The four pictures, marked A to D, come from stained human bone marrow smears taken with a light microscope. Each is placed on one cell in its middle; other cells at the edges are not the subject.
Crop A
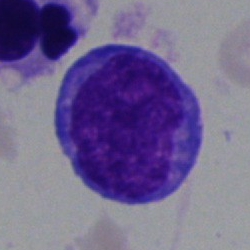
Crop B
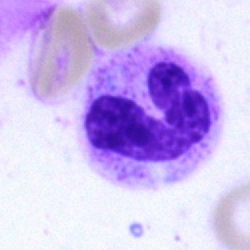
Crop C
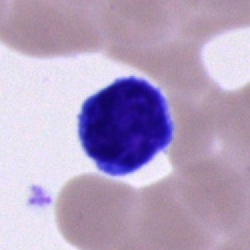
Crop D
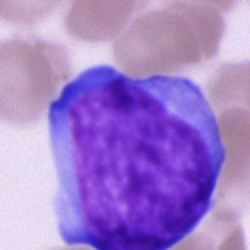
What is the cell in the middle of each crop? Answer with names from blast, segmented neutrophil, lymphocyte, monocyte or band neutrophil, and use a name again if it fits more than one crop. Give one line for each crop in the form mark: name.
A: blast
B: band neutrophil
C: lymphocyte
D: blast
